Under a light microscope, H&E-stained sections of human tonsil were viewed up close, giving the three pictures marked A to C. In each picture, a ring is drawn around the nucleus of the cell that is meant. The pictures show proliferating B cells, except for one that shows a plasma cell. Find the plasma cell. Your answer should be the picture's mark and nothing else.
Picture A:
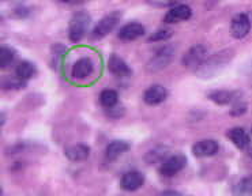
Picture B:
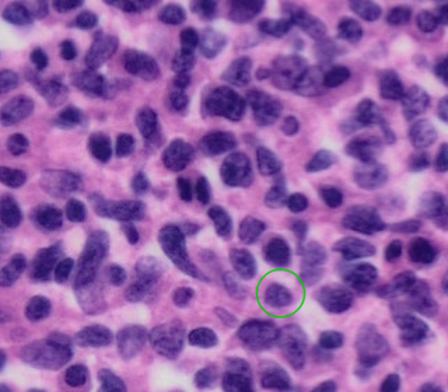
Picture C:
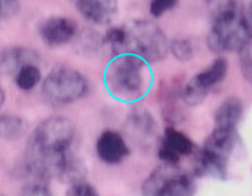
A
